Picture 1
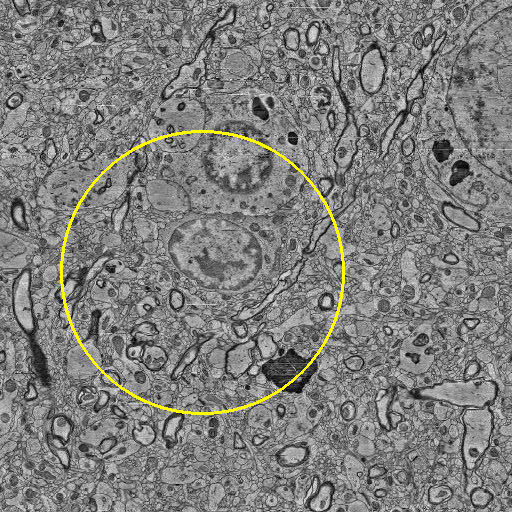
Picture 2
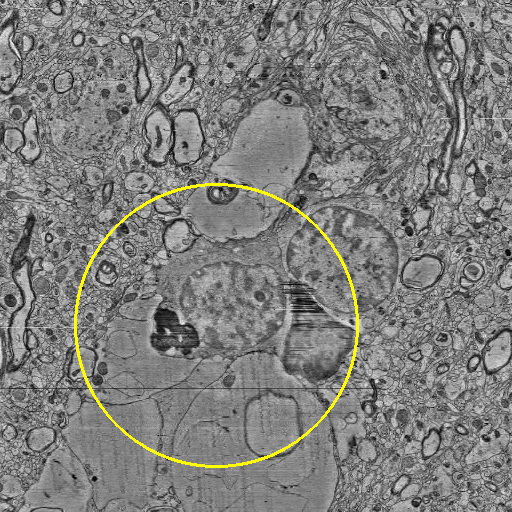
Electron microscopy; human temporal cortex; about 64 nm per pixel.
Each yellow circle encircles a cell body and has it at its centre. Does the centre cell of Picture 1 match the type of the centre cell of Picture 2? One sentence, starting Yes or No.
Yes, the cell centred in Picture 1 and the one in Picture 2 share a type.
